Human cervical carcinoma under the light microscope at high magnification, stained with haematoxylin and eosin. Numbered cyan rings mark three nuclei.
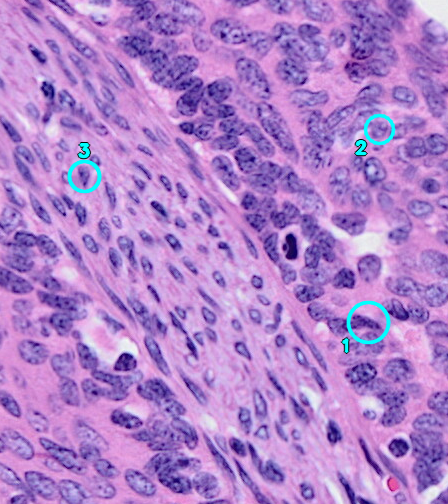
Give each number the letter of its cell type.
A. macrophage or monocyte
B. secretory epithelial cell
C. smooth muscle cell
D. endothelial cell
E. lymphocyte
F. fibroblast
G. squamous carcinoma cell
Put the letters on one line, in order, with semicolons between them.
G; G; C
